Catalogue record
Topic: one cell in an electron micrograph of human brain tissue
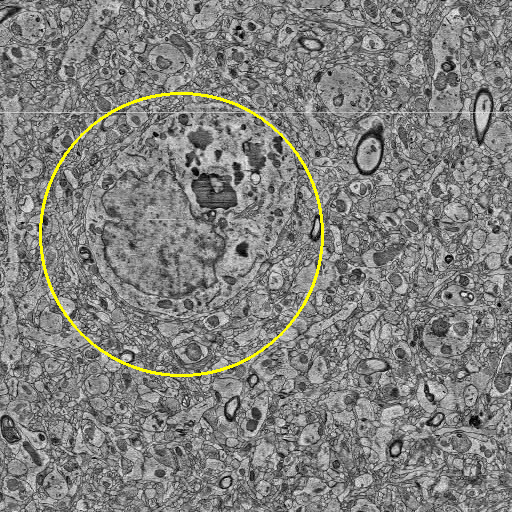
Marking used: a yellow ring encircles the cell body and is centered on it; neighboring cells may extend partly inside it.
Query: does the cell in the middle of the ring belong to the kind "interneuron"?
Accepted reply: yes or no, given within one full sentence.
Yes, the cell centered in the ring in the picture is of that kind.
